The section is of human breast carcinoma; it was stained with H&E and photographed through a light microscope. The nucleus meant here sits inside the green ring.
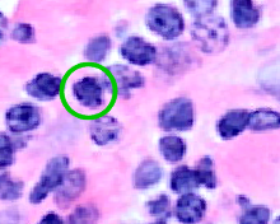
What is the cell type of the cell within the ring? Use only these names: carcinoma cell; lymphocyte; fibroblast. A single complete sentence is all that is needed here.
With respect to cell type, the cell within the ring is a lymphocyte.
